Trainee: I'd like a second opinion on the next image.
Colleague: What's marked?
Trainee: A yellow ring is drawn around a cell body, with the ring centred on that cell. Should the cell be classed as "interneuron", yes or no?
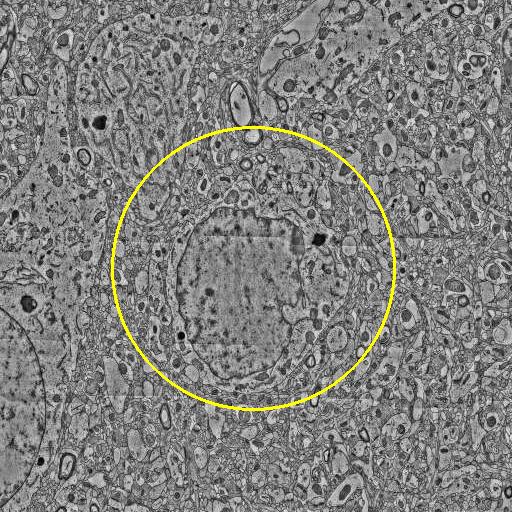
Yes, it should.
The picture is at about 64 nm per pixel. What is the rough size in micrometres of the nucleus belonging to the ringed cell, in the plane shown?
In this plane, roughly 11 by 8 micrometres.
